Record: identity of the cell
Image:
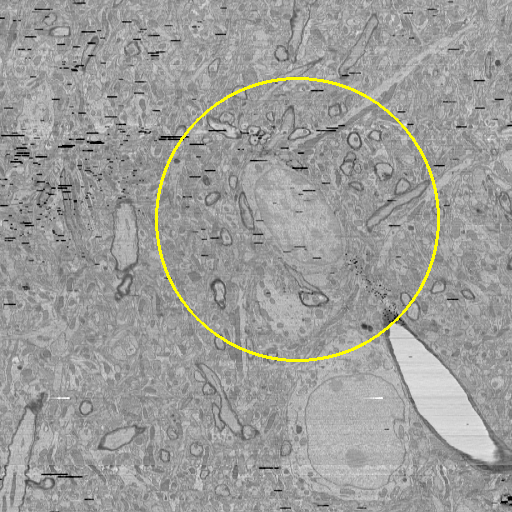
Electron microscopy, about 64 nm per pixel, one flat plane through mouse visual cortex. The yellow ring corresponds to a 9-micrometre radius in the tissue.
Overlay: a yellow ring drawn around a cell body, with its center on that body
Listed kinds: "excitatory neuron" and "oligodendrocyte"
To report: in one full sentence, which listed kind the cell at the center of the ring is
In the image, the cell body at the ring's center belongs to an oligodendrocyte.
